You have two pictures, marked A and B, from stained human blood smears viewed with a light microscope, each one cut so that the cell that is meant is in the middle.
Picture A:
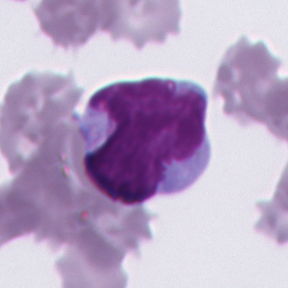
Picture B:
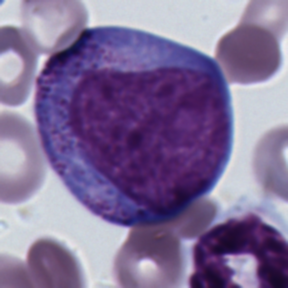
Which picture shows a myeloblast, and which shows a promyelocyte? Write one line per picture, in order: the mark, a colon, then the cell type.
A: myeloblast
B: promyelocyte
